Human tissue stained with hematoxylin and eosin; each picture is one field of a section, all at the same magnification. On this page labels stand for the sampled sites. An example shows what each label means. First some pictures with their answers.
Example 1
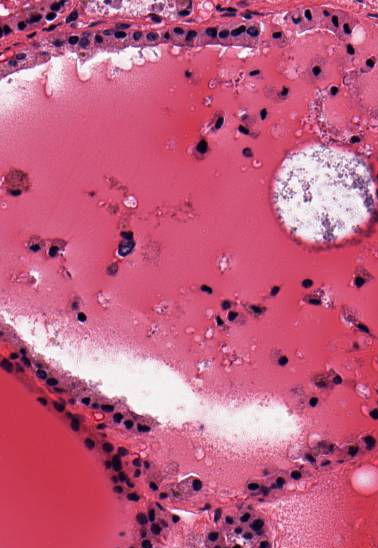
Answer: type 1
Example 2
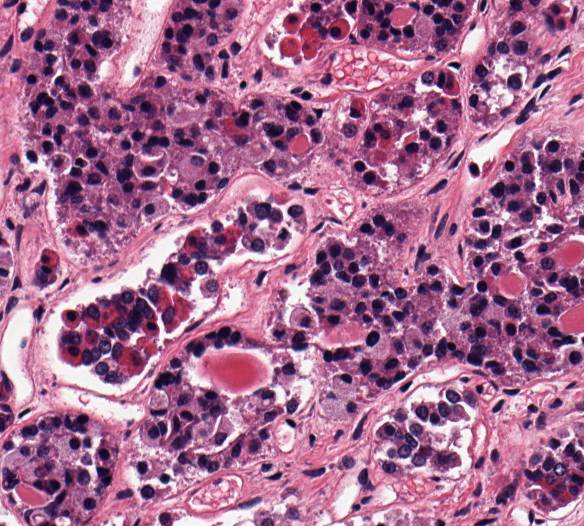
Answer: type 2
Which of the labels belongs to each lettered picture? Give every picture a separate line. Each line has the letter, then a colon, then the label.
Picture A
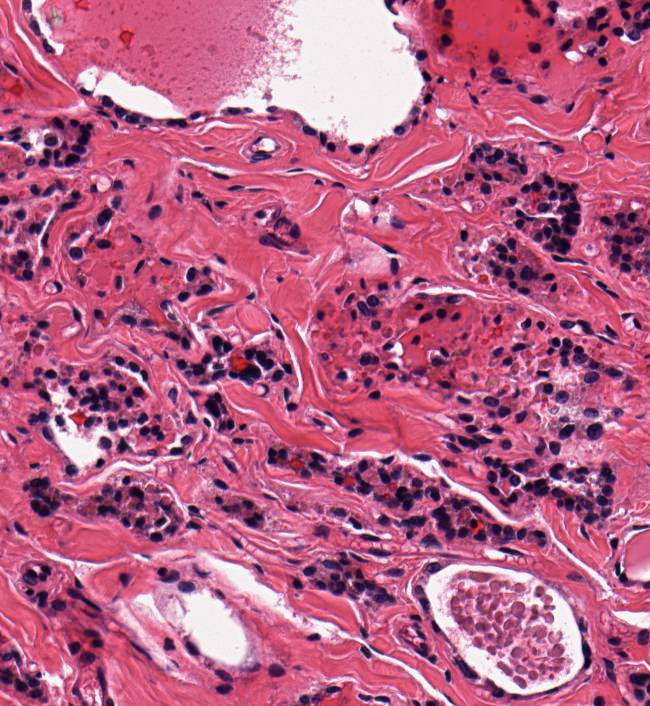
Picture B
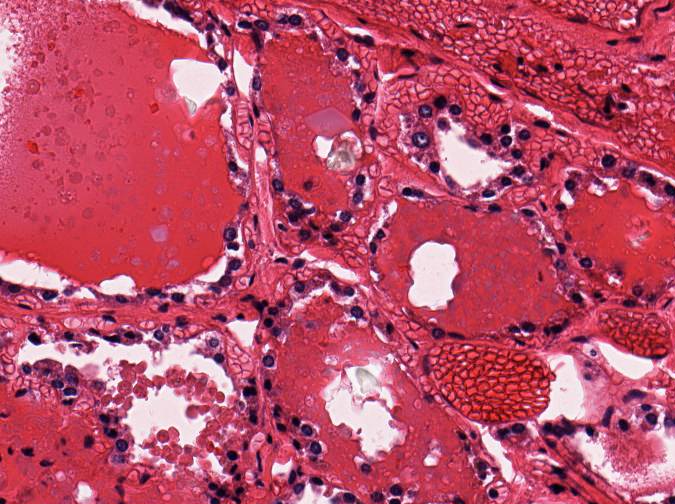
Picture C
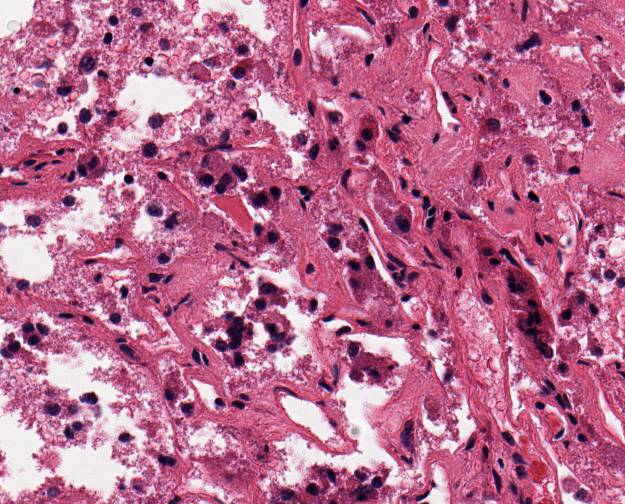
A: type 1
B: type 1
C: type 2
